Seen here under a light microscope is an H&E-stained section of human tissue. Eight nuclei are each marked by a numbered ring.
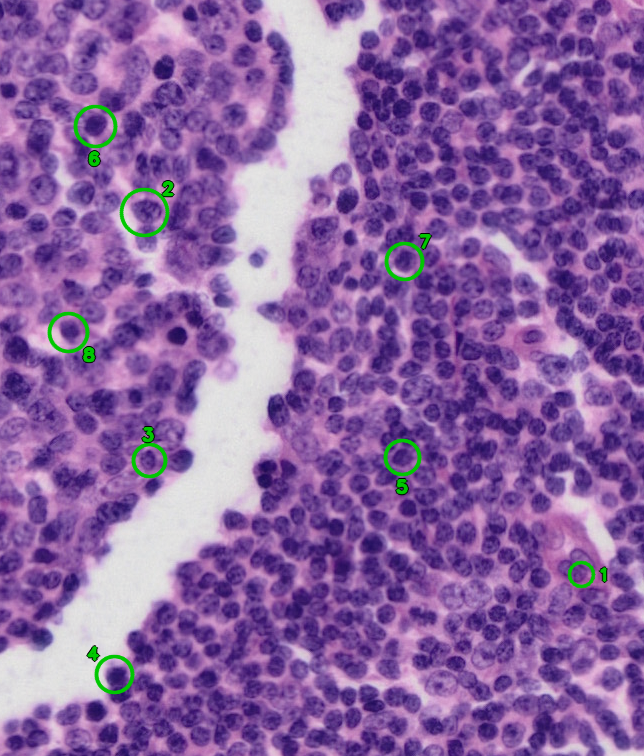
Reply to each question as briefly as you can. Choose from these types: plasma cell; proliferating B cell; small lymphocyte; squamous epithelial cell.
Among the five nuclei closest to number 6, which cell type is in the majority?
proliferating B cell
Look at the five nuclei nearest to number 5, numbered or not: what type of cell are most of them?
small lymphocyte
